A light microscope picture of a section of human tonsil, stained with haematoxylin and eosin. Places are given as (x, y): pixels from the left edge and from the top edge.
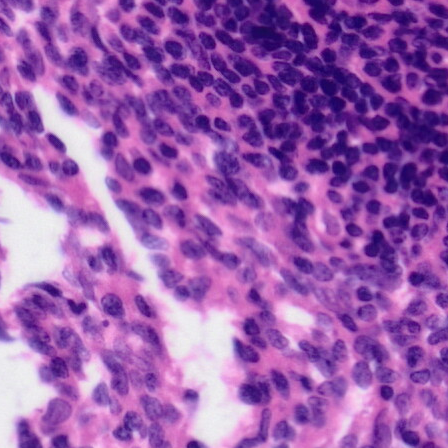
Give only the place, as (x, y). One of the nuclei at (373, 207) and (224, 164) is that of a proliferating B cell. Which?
(224, 164)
